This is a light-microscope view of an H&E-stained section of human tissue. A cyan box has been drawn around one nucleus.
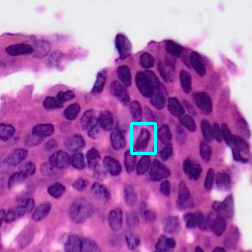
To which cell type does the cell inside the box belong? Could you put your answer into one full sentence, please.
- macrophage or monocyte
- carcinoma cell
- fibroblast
Histopathologically, the cell inside the box is a carcinoma cell.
